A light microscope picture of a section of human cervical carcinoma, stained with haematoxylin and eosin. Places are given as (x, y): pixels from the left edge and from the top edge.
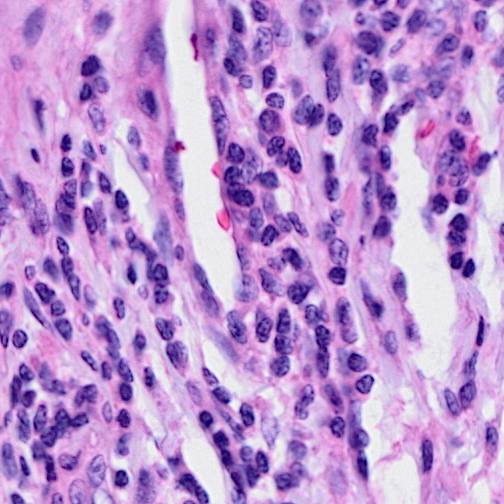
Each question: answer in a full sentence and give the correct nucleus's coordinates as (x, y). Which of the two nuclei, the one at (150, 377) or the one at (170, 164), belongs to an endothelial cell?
The nucleus at (170, 164) is the one that belongs to an endothelial cell.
